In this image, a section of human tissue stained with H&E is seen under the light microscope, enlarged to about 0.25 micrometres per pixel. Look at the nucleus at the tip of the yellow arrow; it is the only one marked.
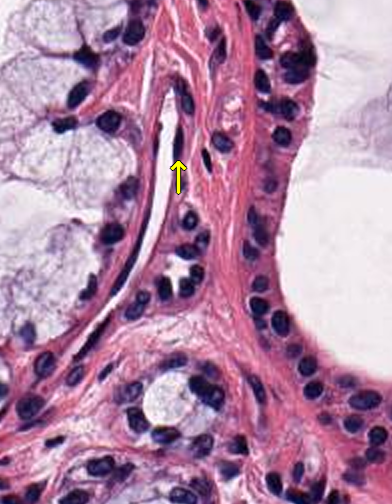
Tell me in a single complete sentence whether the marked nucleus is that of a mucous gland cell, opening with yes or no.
No, a mucous gland cell does not own the marked nucleus, which belongs to a supporting cell.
